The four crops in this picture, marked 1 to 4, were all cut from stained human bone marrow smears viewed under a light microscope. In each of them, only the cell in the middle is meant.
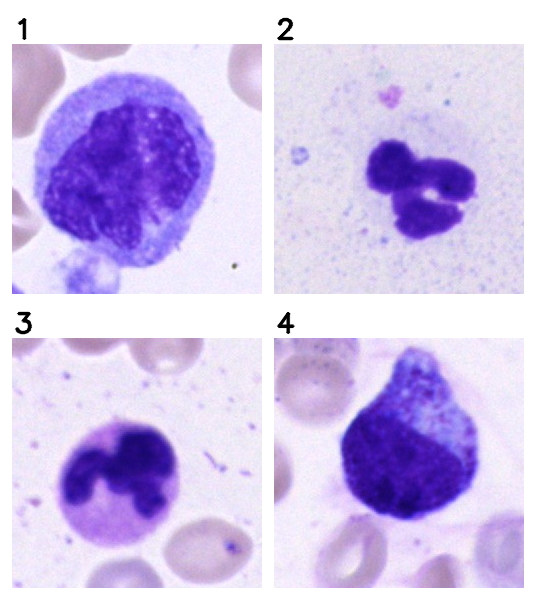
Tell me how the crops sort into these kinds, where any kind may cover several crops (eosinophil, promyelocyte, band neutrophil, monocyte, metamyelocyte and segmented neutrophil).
1: monocyte
2: segmented neutrophil
3: segmented neutrophil
4: promyelocyte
